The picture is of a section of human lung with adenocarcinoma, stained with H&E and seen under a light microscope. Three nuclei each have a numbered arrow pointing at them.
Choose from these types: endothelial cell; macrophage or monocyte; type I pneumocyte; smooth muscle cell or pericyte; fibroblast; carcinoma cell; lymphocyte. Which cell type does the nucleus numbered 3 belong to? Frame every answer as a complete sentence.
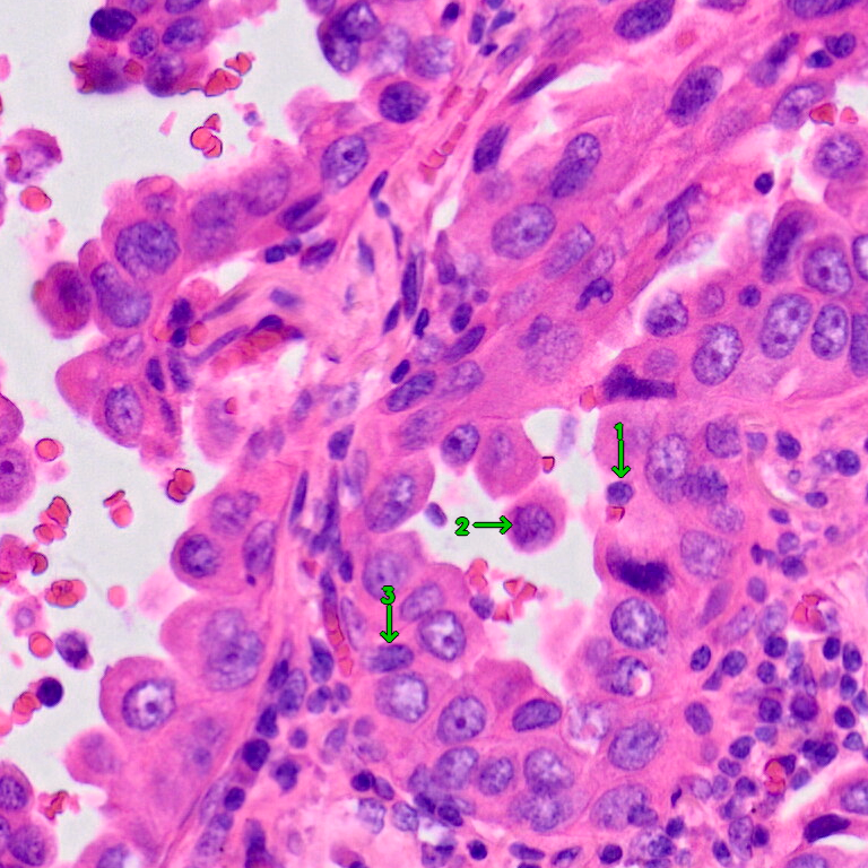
The numbered cell 3 is identified here as a carcinoma cell.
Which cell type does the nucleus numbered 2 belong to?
Cell 2 is classified as a carcinoma cell.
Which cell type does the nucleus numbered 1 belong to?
The cell to which the number 1 is assigned is a lymphocyte.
